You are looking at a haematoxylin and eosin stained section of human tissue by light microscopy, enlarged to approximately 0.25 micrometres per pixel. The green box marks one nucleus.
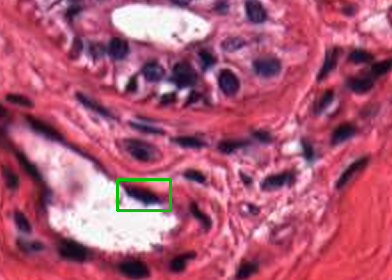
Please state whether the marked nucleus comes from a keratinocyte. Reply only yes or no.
no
